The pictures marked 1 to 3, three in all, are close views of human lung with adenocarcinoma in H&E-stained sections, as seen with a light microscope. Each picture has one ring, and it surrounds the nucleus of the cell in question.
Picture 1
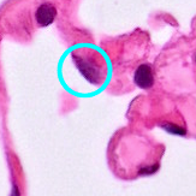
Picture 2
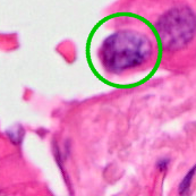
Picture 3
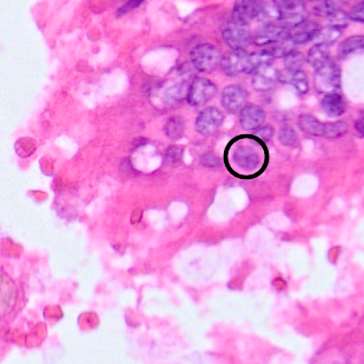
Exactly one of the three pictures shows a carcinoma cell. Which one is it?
2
